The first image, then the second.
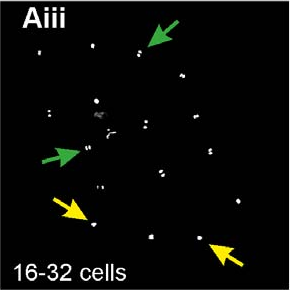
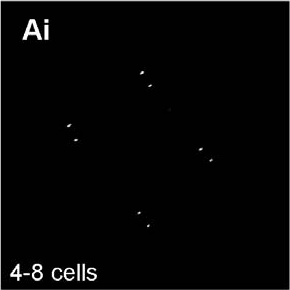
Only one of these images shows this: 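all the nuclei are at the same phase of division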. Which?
The second image.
